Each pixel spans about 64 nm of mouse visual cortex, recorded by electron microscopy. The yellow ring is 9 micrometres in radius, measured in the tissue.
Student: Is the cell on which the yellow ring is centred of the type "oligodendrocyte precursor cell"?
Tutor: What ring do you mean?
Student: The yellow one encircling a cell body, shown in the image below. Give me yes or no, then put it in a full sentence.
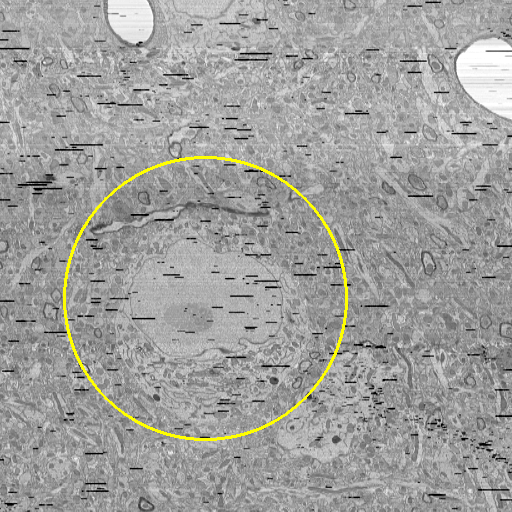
No, the cell on which the yellow ring in the image is centred has a different type.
